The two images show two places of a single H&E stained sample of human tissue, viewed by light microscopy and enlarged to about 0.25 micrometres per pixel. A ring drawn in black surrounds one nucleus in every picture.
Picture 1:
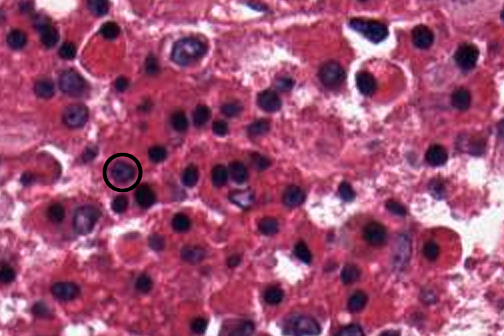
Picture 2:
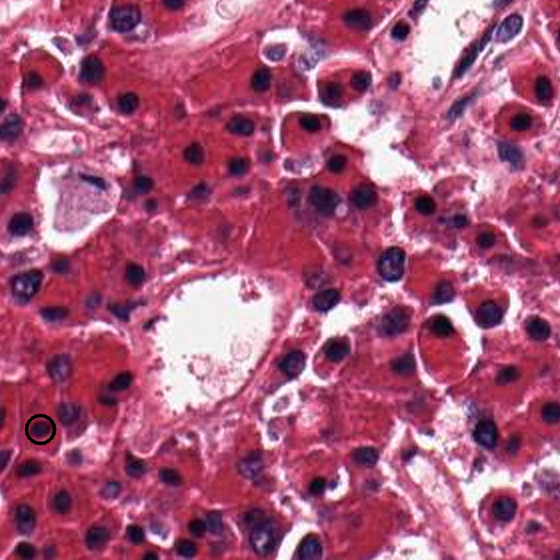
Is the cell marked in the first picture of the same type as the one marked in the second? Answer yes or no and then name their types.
Yes, both are anterior pituitary cells.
